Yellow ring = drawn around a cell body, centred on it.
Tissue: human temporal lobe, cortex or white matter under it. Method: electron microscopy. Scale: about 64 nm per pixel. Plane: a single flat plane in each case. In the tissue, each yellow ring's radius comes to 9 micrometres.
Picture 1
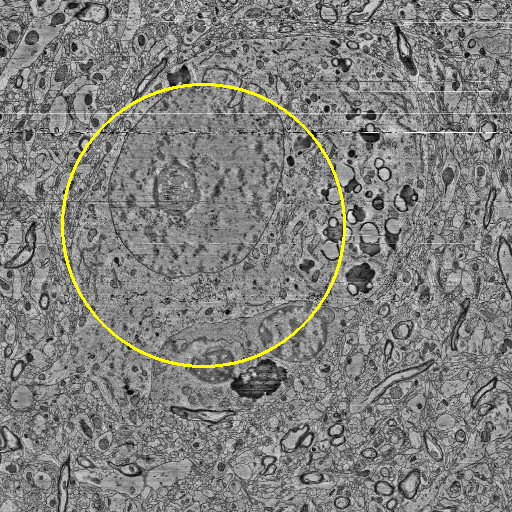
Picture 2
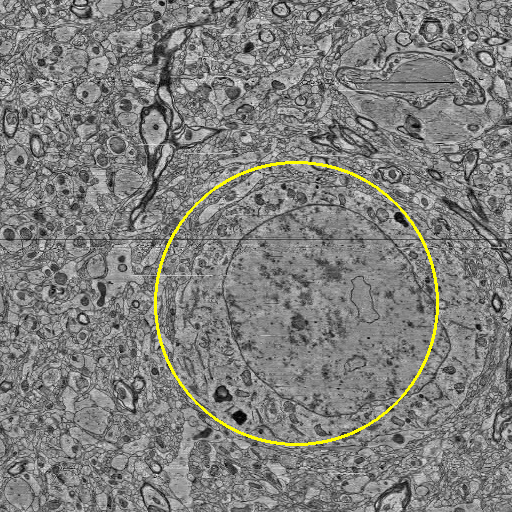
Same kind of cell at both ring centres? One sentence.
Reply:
Yes, they are the same kind of cell.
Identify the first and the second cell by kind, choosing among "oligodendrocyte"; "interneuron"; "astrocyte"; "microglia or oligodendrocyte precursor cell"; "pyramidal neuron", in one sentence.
Each cell, in the first picture and the second, is a pyramidal neuron.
